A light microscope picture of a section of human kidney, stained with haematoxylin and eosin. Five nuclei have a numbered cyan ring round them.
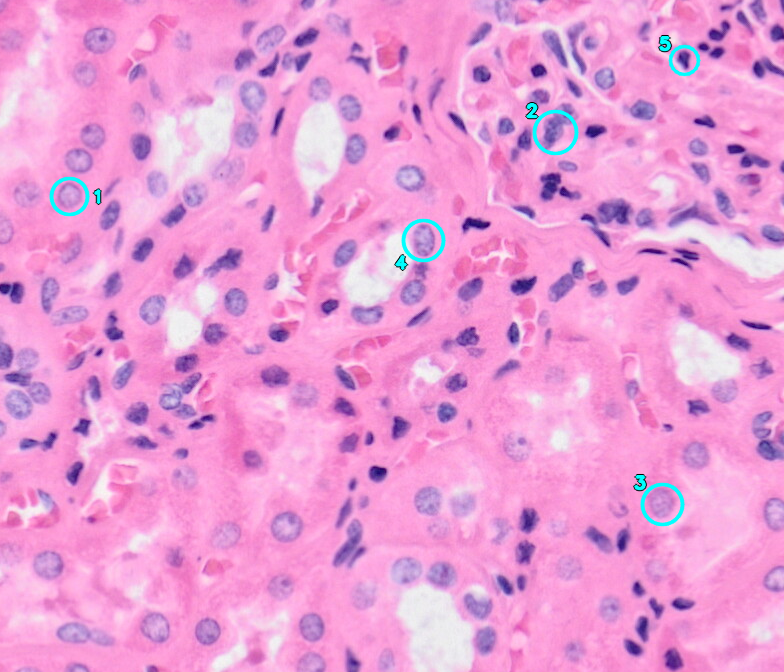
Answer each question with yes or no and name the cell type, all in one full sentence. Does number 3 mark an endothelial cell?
No, for cell 3, the correct identification is a proximal tubule cell instead of an endothelial cell.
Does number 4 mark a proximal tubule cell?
No, instead of a proximal tubule cell, the cell with number 4 is a loop of Henle or distal tubule cell.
